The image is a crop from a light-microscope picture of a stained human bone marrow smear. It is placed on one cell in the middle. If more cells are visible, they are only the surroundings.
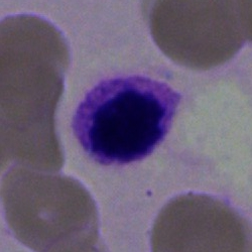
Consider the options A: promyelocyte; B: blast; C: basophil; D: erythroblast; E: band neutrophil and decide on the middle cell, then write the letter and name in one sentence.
Of the options given, C is correct, the central cell being a basophil.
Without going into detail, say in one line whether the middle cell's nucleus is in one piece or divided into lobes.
The cell carries one compact nucleus shaped round, oval or like a kidney.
